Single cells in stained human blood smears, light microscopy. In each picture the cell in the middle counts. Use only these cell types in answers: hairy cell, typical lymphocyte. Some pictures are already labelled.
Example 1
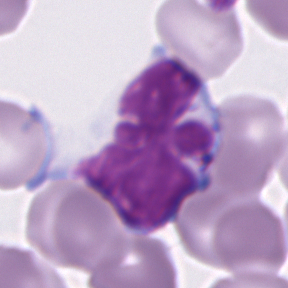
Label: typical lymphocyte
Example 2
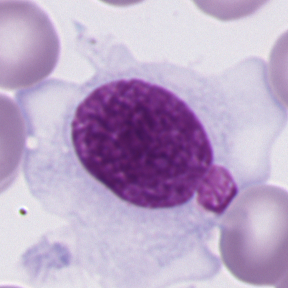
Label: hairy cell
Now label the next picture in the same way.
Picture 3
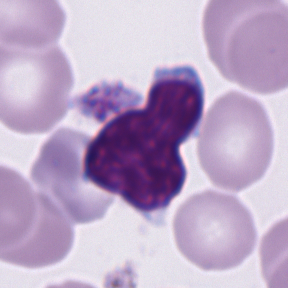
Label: typical lymphocyte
